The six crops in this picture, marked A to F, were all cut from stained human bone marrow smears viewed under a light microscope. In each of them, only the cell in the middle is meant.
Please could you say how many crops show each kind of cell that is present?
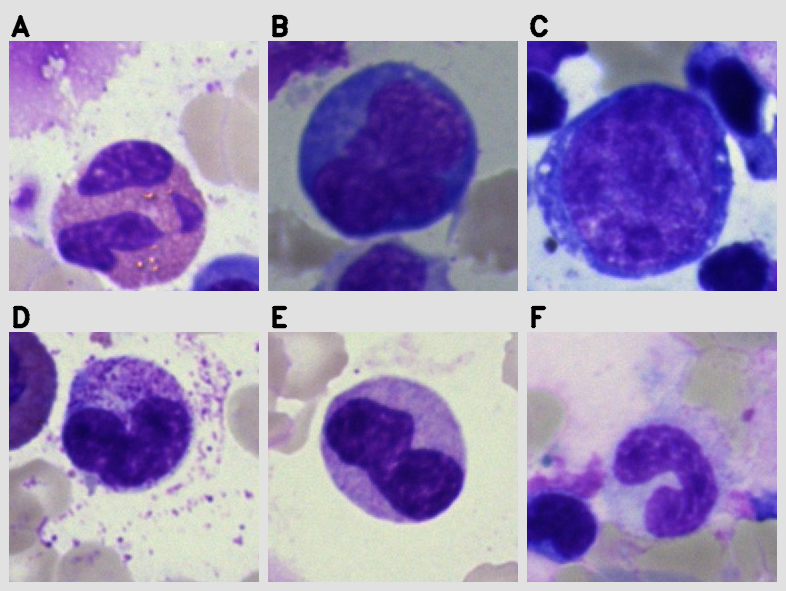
band neutrophil: 3
blast: 2
eosinophil: 1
